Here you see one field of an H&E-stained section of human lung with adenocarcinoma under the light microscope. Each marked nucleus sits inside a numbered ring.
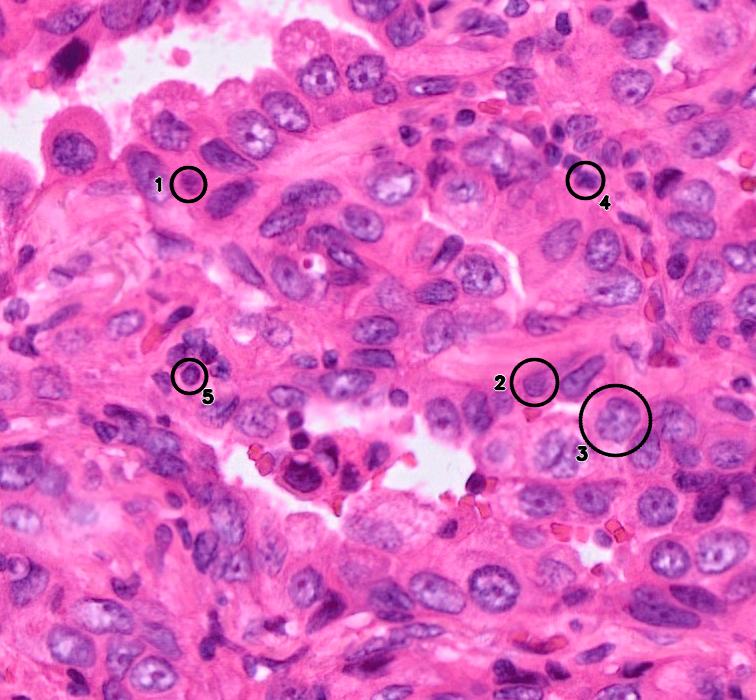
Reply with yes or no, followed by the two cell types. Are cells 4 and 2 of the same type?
No, cell 4 is identified as a lymphocyte, and cell 2 is identified as a carcinoma cell.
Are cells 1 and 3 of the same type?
Yes, cells 1 and 3 are both carcinoma cells and thus of one type.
